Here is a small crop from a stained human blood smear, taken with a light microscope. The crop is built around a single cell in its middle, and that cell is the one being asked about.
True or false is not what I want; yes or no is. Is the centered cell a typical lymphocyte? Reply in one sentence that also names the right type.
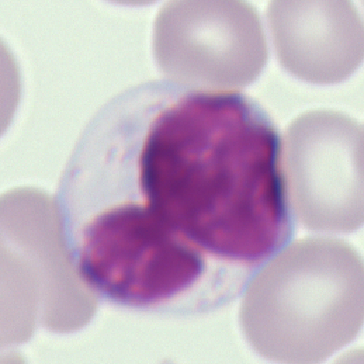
No, the cell centered in the crop is a large granular lymphocyte, not a typical lymphocyte.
